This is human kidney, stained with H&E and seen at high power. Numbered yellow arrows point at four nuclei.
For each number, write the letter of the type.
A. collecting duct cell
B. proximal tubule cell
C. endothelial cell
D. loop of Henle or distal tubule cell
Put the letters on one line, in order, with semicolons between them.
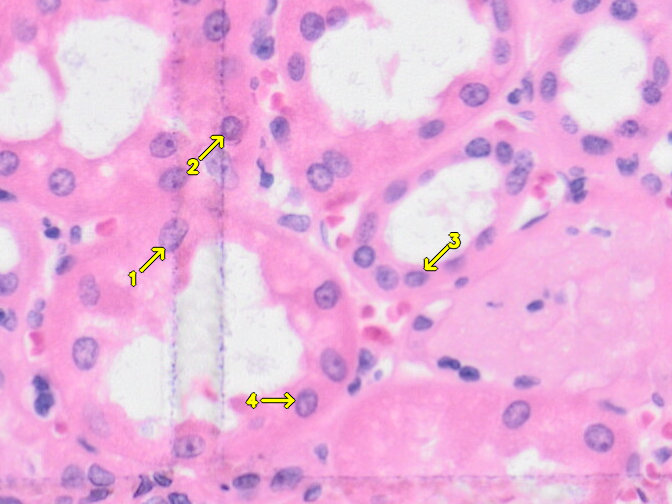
B; B; A; B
